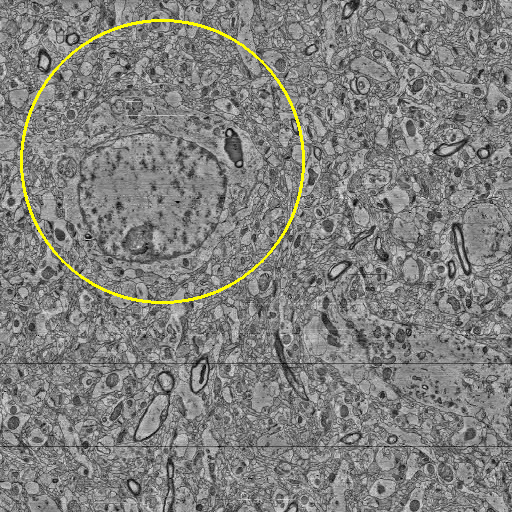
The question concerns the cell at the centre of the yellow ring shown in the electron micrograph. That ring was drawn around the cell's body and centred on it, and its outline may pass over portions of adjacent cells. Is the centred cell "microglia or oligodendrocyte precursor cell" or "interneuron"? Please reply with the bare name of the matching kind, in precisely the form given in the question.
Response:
interneuron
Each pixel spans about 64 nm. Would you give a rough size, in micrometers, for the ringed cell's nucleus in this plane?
In this plane, roughly 9 micrometres across.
